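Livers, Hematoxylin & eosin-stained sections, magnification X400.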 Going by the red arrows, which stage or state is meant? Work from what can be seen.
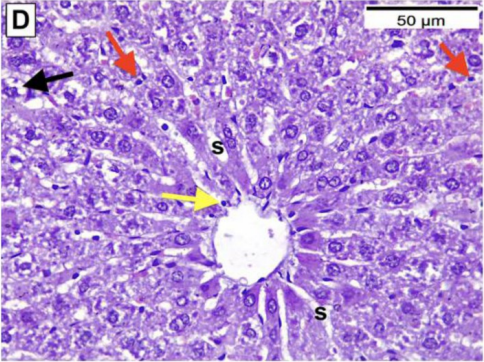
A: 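Apoptotic hepatocytes. The marked cells have small, dense, dark nuclei.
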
